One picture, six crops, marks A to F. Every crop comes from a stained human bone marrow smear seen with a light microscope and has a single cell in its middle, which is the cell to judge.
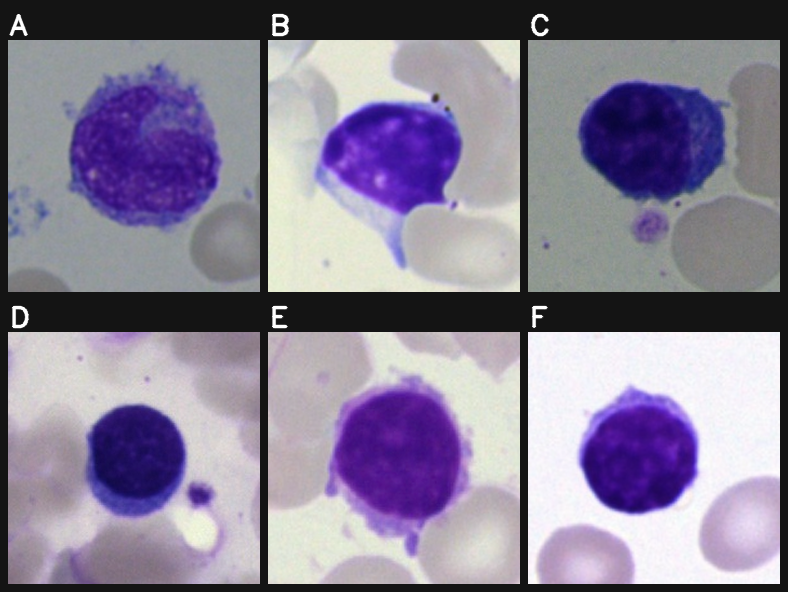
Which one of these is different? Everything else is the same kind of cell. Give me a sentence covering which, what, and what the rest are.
Crop A stands apart from the rest as a monocyte, the others all being lymphocytes.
